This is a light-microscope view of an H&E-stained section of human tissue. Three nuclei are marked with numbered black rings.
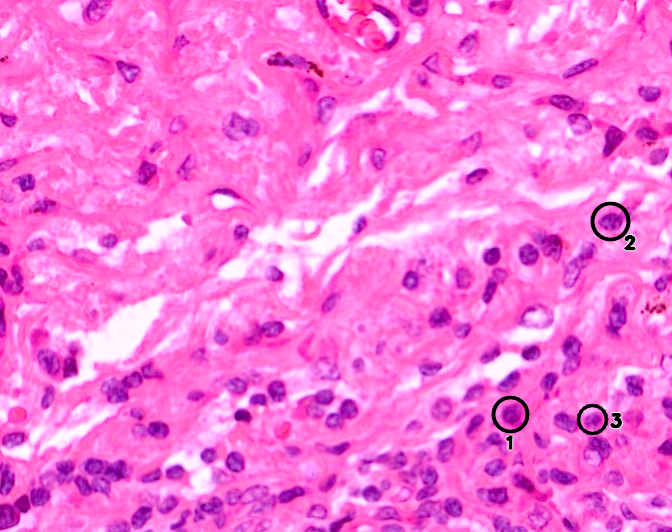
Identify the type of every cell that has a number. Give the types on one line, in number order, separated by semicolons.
plasma cell; lymphocyte; lymphocyte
